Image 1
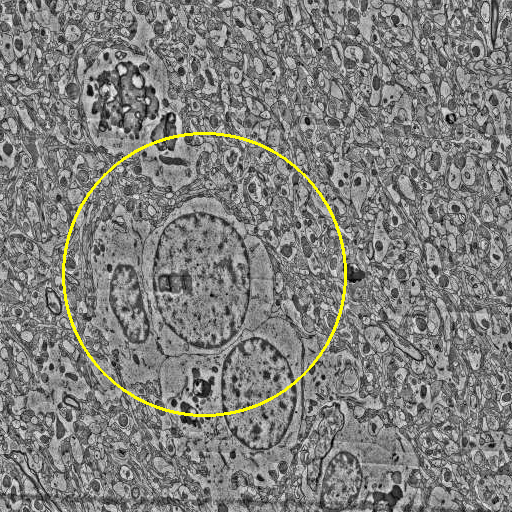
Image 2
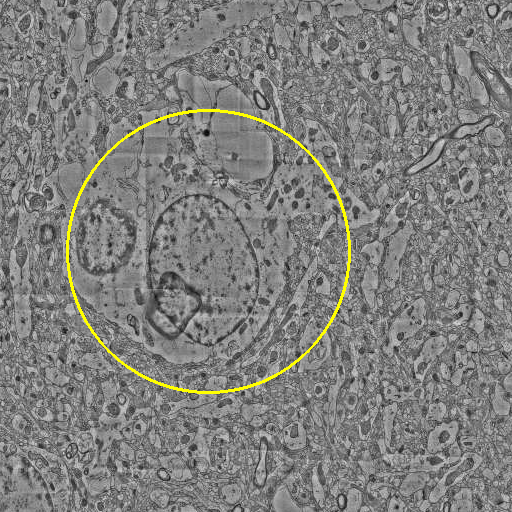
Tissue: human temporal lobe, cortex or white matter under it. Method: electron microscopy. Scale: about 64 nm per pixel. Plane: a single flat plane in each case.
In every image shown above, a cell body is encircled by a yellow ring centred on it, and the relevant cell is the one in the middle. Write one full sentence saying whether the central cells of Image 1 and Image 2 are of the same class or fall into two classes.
The cell at the ring's centre in Image 1 and its counterpart in Image 2 are of the same class.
